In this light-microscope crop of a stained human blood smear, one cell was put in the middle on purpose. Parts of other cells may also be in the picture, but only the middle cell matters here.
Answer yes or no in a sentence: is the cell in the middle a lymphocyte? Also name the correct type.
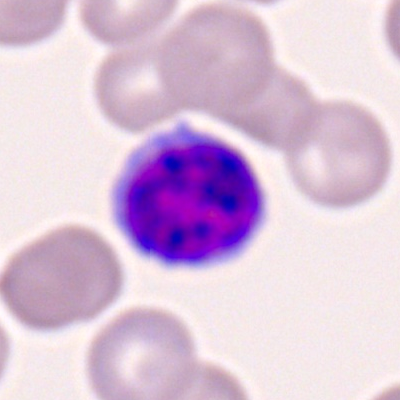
Yes, the middle cell in this crop is a lymphocyte.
